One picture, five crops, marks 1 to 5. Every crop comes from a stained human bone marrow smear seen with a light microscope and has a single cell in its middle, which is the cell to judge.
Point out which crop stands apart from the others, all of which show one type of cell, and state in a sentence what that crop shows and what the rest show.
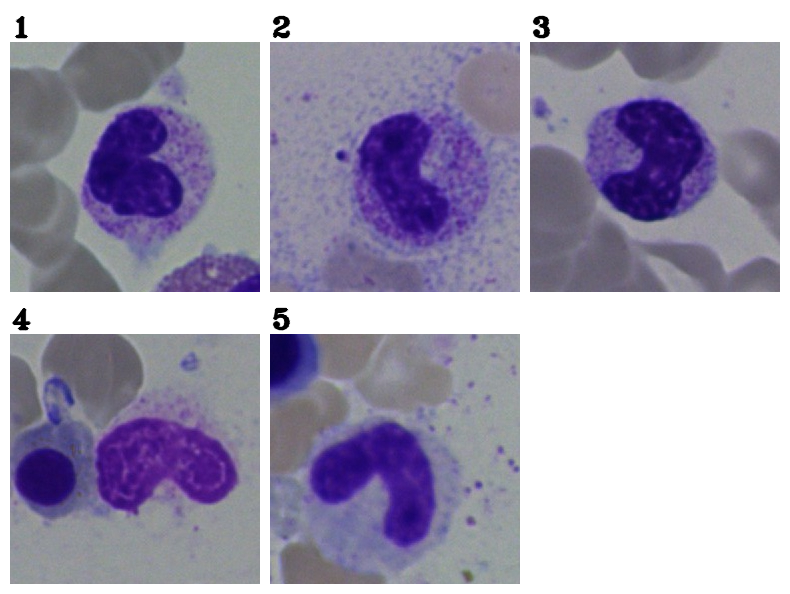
Unlike the rest, which all show band neutrophils, crop 4 contains a metamyelocyte.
